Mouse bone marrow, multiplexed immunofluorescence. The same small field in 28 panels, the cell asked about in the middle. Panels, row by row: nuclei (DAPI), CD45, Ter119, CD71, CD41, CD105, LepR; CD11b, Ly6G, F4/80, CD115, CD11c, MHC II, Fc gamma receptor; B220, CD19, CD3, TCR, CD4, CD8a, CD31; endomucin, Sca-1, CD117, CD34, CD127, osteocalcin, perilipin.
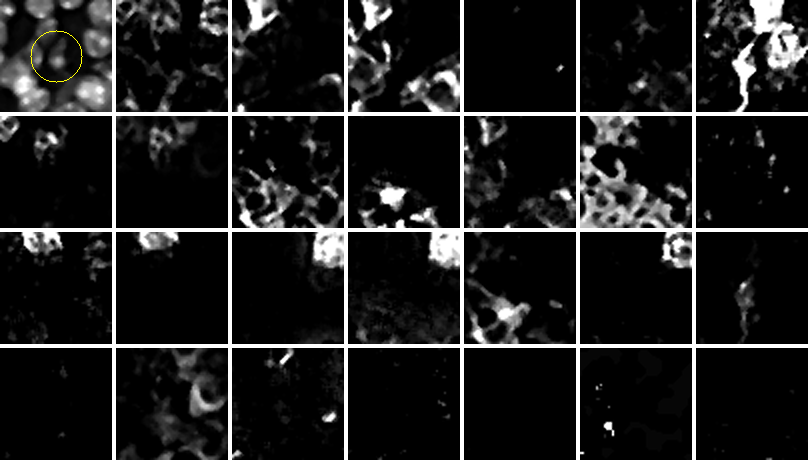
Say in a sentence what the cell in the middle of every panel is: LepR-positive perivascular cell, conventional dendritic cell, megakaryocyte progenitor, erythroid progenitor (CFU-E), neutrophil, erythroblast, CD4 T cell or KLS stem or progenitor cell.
This is a LepR-positive perivascular cell.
